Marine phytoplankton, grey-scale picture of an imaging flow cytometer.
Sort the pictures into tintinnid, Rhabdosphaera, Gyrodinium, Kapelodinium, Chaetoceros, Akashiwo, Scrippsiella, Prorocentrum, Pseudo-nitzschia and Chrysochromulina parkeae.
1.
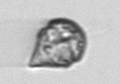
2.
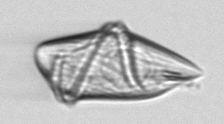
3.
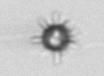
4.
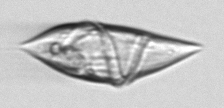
Scrippsiella: 1
Gyrodinium: 2, 4
Rhabdosphaera: 3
